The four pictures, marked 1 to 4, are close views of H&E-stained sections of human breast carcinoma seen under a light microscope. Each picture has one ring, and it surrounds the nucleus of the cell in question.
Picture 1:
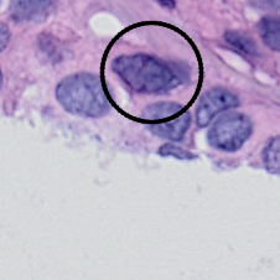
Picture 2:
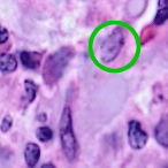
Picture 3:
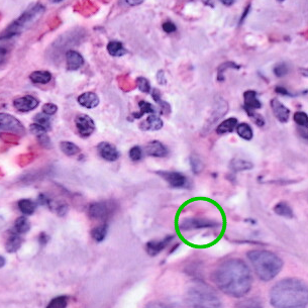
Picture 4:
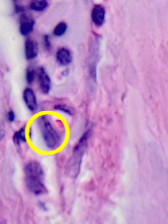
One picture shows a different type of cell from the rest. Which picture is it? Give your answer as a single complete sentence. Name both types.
The different one is picture 1; it shows a carcinoma cell, whereas all the others show endothelial cells.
